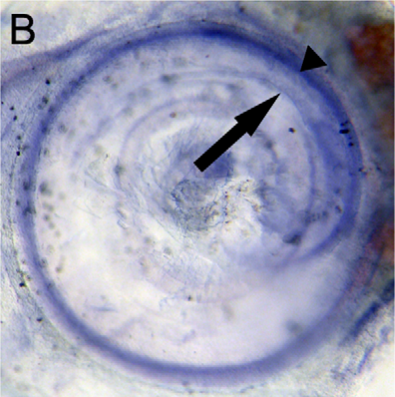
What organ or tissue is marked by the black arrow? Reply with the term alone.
Organ of Corti.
